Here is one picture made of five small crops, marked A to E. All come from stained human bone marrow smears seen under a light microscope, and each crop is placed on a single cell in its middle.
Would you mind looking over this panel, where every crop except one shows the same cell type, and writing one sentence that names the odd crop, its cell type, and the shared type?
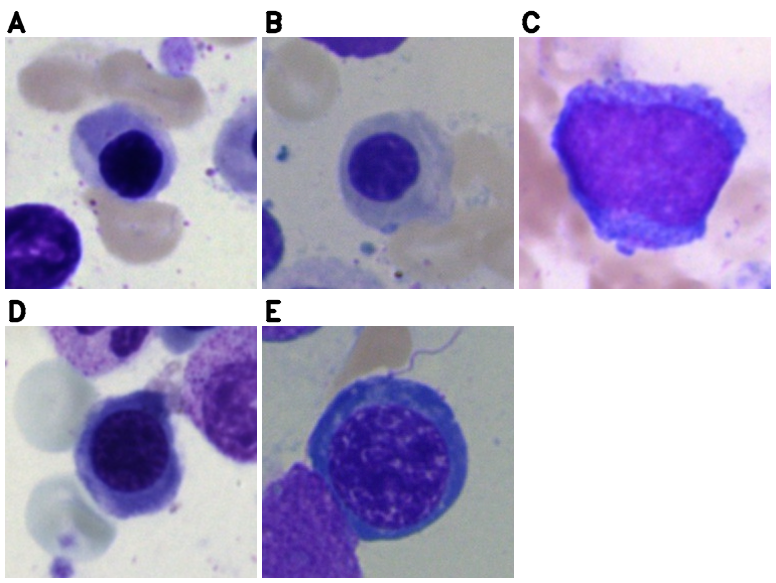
Crop C, showing a blast, is the exception; the others all show erythroblasts.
